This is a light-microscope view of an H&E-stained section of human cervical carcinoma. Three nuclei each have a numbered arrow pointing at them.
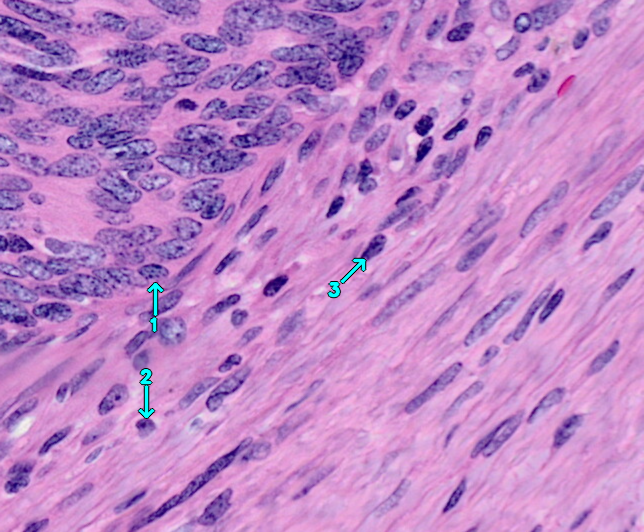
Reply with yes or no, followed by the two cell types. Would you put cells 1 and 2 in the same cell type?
No, mate, cell 1 is a squamous carcinoma cell and cell 2 is a lymphocyte.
